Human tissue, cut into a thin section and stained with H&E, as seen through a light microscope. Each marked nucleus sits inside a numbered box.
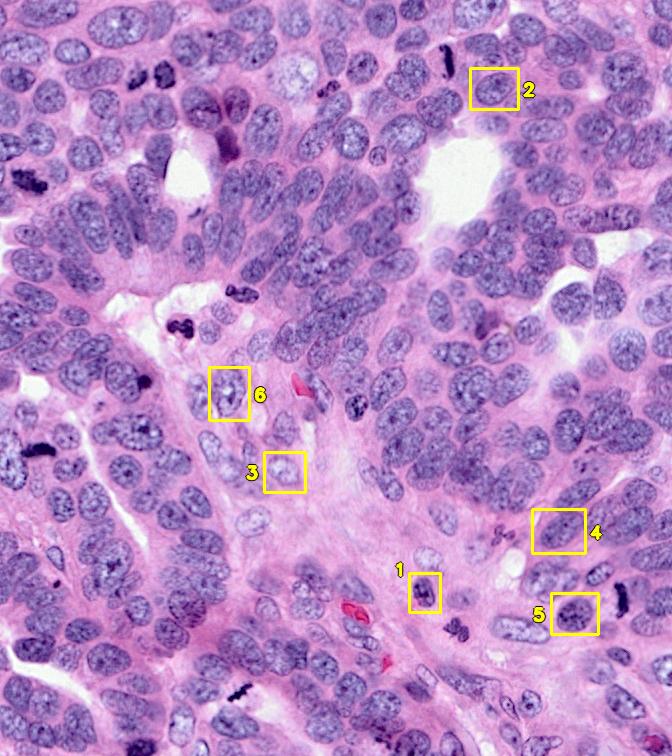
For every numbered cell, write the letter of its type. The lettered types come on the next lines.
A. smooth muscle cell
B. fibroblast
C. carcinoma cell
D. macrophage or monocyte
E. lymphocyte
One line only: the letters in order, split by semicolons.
E; C; B; C; D; B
